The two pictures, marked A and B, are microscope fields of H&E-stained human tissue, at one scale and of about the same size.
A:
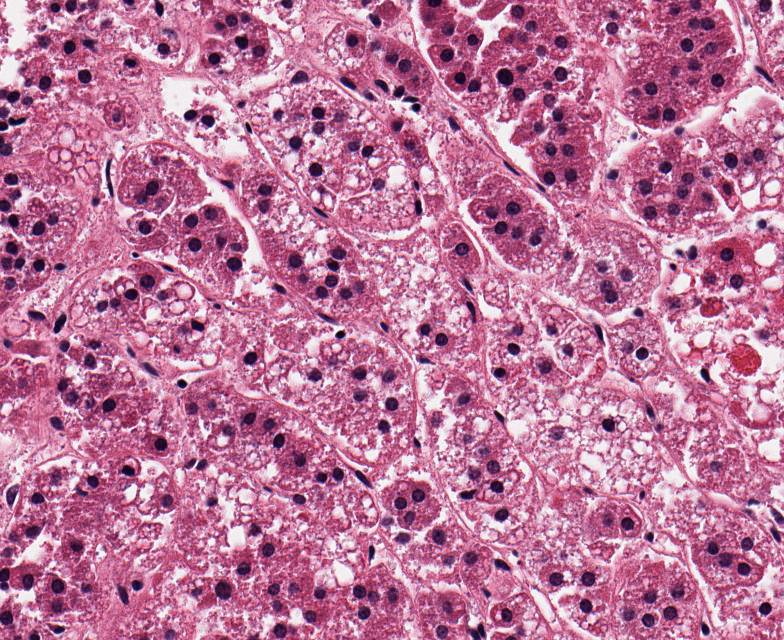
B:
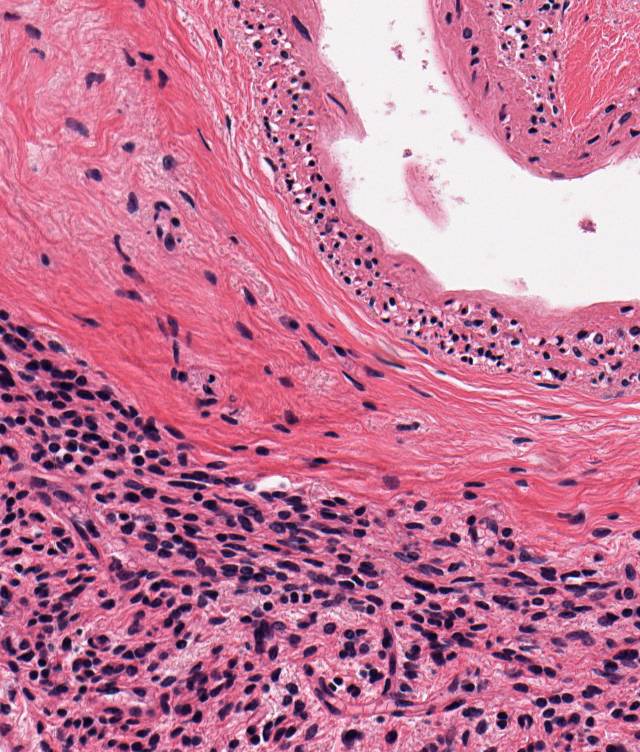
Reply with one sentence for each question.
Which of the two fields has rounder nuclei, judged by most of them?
Rounder nuclei lie in field A.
